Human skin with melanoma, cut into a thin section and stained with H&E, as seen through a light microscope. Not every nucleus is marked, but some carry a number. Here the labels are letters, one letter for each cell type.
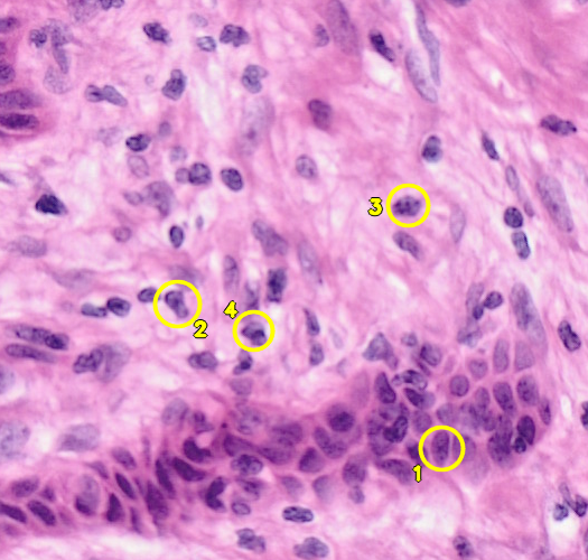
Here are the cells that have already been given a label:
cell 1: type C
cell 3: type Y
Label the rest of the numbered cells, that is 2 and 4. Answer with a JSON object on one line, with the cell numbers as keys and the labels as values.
{"2": "type Y", "4": "type Y"}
